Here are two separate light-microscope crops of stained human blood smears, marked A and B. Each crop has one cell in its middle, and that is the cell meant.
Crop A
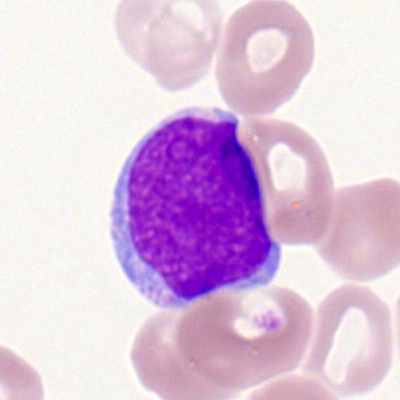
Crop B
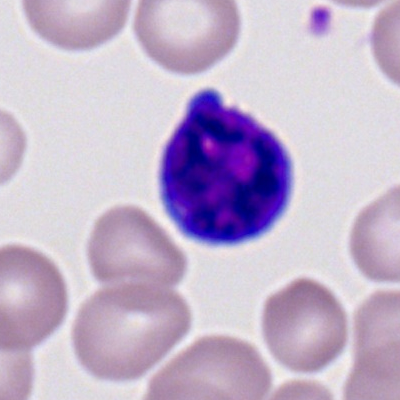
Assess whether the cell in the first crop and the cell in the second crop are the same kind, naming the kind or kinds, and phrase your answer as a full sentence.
No, the correct reading is a blast in crop A and a lymphocyte in crop B.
